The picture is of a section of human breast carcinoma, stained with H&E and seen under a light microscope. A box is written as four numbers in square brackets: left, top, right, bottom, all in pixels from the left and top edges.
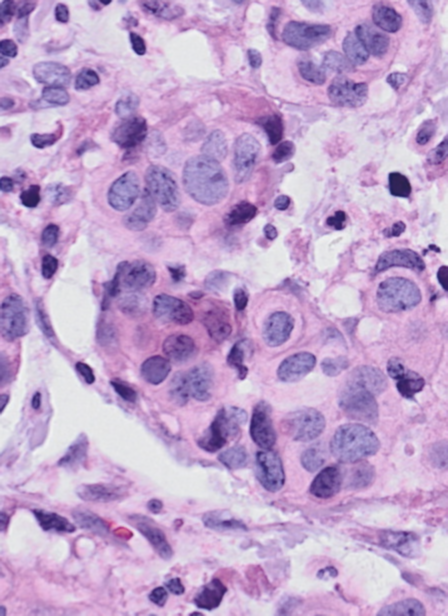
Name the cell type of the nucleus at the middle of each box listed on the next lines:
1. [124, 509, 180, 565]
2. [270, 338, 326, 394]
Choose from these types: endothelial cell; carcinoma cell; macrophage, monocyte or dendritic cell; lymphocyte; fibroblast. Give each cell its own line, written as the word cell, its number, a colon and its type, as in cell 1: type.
cell 1: endothelial cell
cell 2: carcinoma cell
